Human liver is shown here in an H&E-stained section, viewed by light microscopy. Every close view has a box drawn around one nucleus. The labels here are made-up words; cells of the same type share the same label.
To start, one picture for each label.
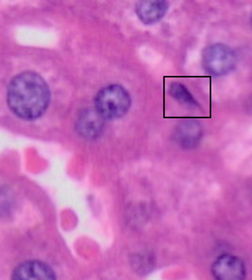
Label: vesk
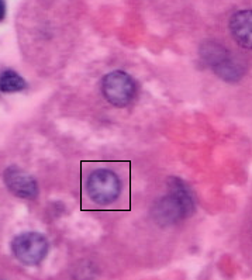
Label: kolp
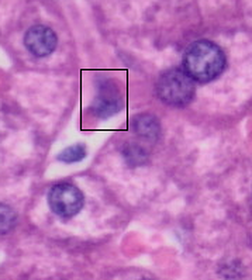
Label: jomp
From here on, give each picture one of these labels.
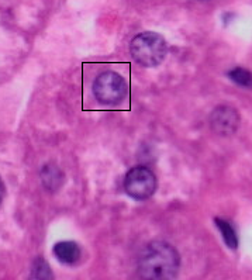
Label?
kolp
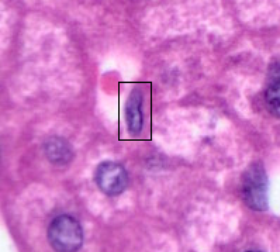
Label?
jomp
